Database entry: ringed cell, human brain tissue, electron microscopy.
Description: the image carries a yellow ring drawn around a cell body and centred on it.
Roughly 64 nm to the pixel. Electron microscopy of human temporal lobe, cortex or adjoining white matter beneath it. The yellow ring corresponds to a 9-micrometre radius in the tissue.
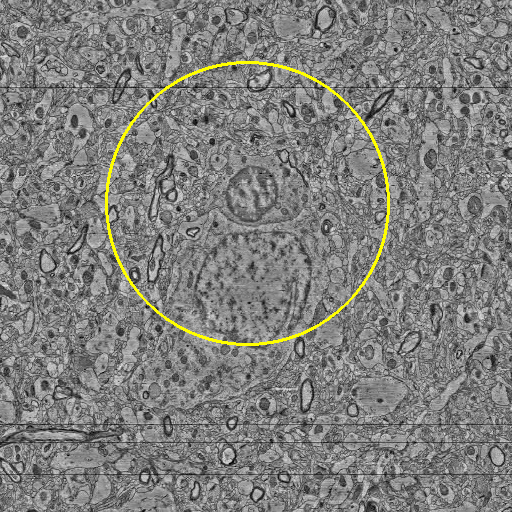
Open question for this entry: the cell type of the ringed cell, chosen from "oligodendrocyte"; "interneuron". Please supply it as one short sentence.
The ringed cell is an oligodendrocyte.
